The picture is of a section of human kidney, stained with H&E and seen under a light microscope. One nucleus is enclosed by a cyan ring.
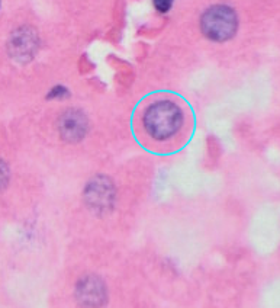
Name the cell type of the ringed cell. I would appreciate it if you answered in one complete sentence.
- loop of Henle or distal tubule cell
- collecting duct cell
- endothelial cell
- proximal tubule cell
Among the cells in this section, the ringed cell is a proximal tubule cell.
